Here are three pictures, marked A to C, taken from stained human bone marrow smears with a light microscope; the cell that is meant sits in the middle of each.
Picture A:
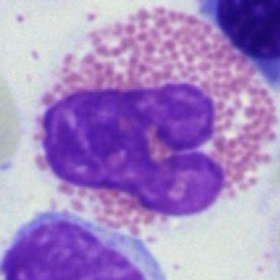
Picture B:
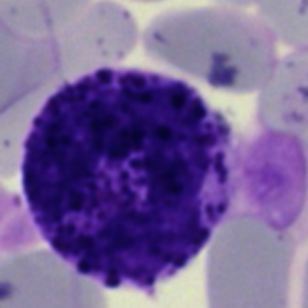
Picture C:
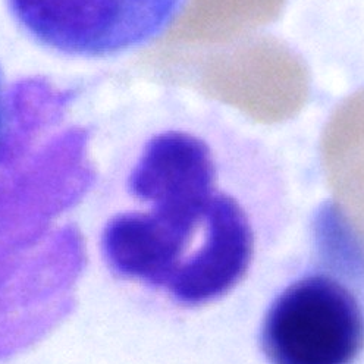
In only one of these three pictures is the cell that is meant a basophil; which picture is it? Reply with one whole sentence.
Picture B shows the basophil.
